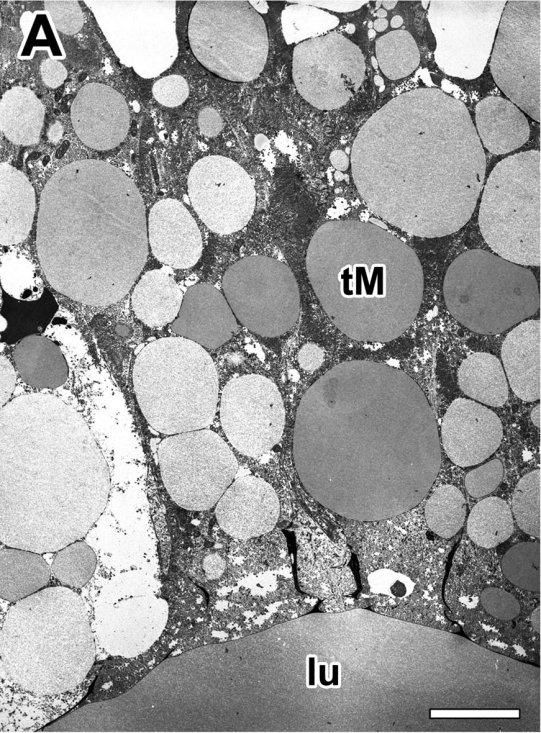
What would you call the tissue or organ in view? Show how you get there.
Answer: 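Tall cells packed with many round secretory granules. The cells rest on a broad, uniform lumen at the bottom.
Glandular epithelium.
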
